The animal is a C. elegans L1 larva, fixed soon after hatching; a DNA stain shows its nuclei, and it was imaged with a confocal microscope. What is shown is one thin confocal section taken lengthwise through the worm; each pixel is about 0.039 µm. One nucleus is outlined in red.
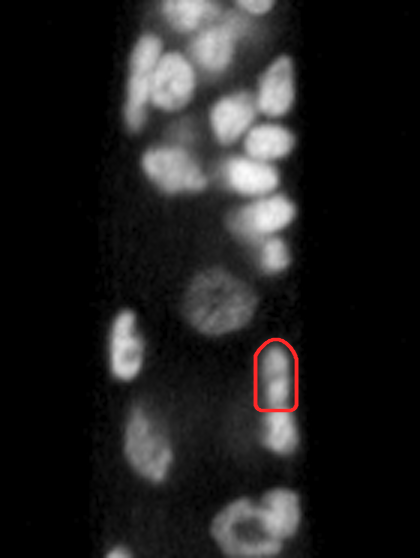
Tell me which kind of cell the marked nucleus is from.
body wall muscle cell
